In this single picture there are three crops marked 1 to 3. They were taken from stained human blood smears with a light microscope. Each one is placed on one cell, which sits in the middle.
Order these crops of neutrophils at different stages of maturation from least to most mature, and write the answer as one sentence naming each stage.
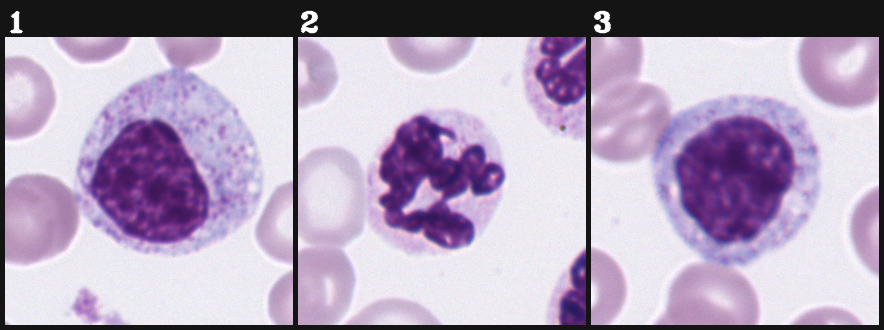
In sequence of increasing maturity, the order is crop 1 (a myelocyte), crop 3 (a metamyelocyte) and crop 2 (a segmented neutrophil).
